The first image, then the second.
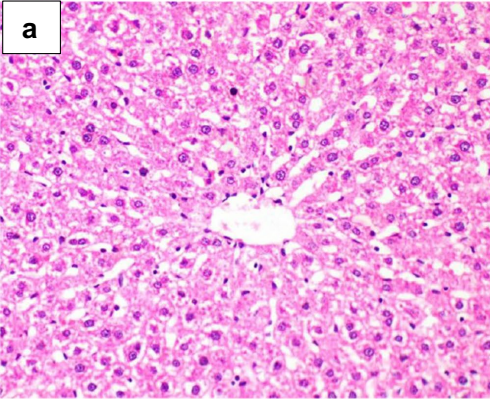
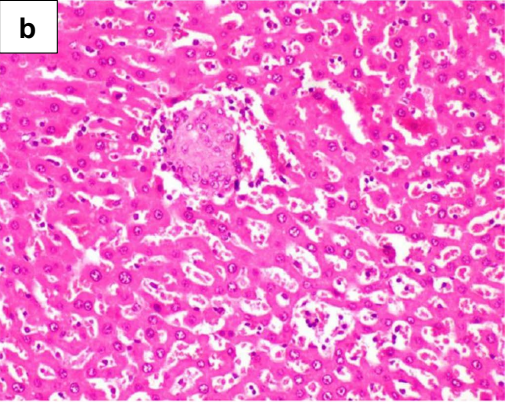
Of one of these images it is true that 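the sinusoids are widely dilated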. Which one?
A: The second image.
